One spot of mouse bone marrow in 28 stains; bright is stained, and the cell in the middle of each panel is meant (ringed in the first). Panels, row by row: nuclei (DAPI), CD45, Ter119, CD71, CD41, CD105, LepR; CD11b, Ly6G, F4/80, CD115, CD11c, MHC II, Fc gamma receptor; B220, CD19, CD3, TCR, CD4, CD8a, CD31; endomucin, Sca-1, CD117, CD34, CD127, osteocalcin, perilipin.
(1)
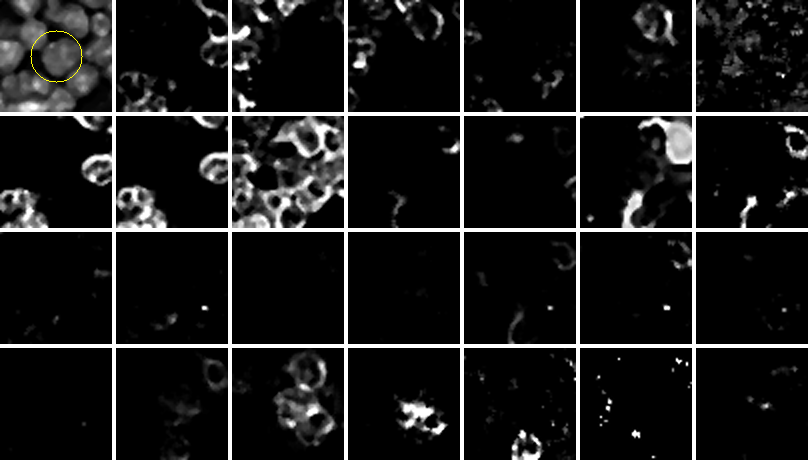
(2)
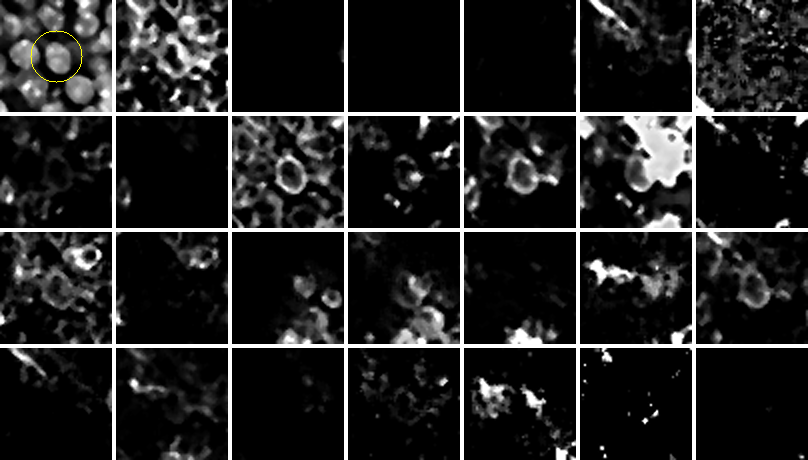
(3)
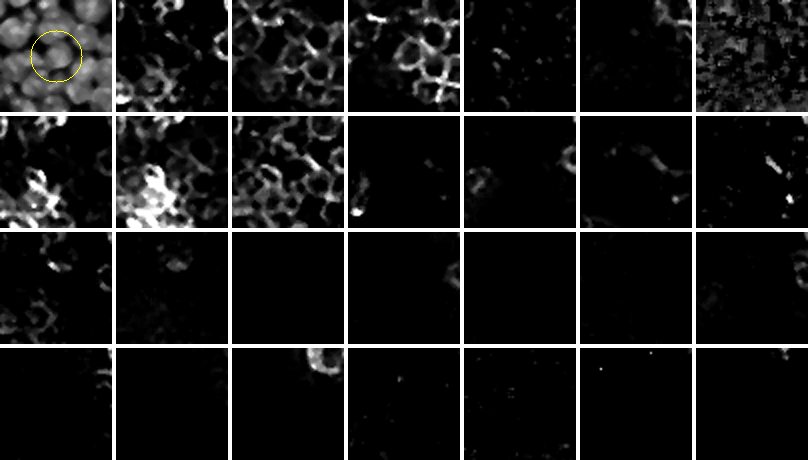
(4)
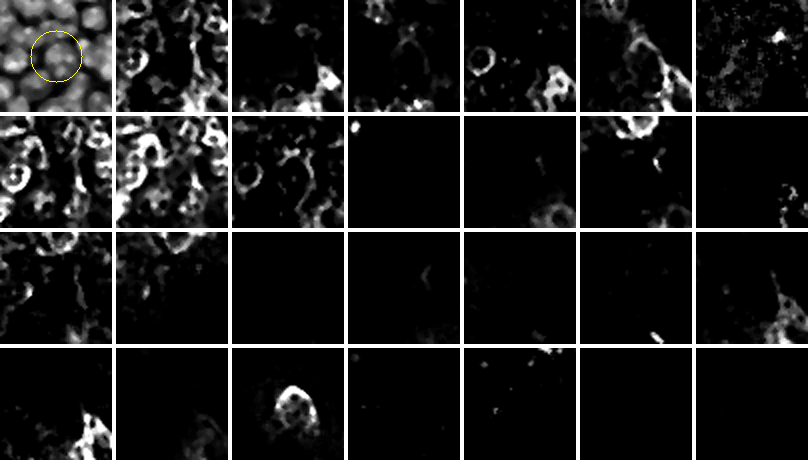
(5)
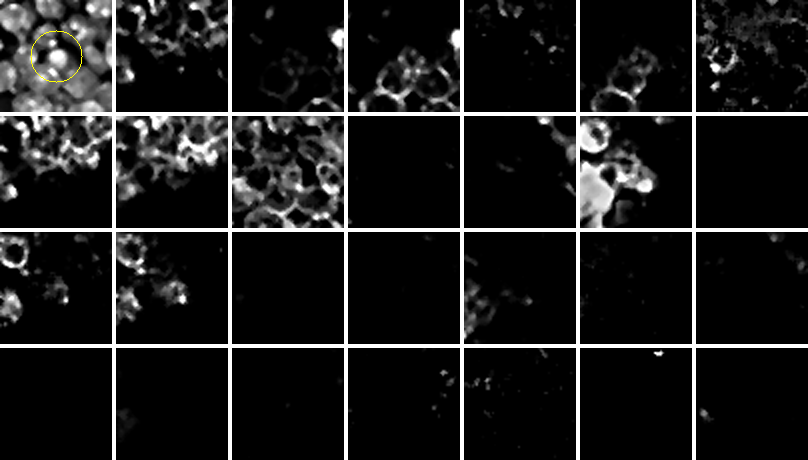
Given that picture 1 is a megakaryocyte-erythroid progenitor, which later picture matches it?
4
